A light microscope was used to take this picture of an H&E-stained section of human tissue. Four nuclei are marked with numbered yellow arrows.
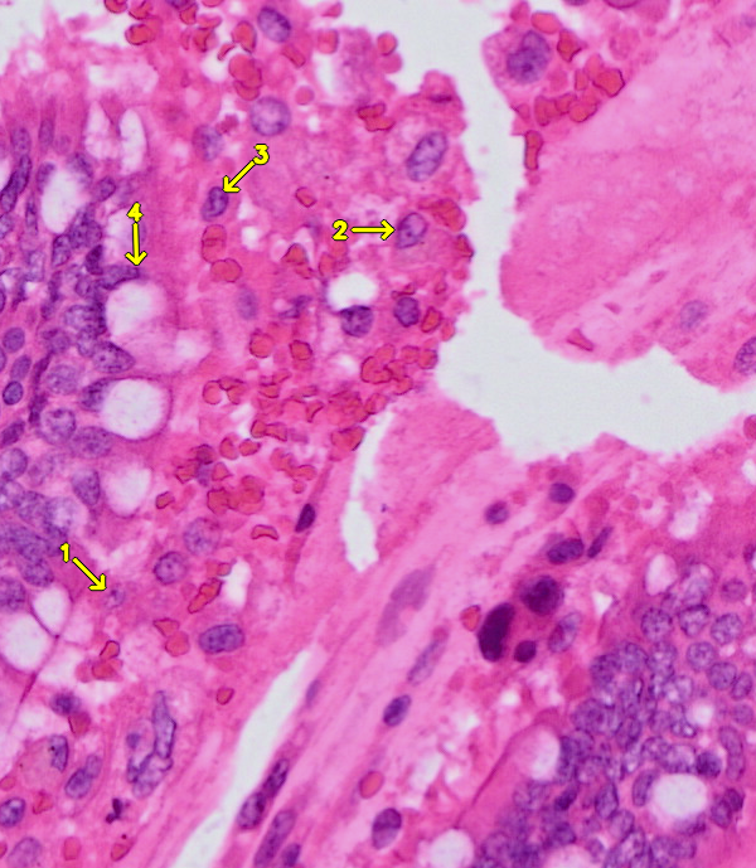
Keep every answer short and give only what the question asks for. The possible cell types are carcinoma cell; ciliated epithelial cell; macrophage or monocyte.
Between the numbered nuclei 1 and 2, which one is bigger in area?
2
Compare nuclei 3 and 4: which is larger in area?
3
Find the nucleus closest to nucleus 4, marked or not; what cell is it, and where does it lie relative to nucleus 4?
a ciliated epithelial cell to the left of nucleus 4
